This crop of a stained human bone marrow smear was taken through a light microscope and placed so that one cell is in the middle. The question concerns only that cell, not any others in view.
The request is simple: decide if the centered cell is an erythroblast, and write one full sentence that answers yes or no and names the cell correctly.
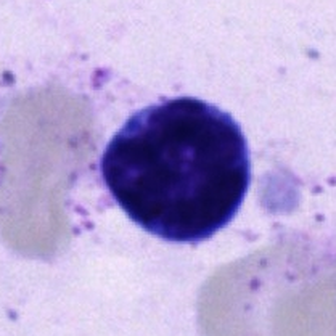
No, it is a lymphocyte, not an erythroblast, that lies at the centre of the crop.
